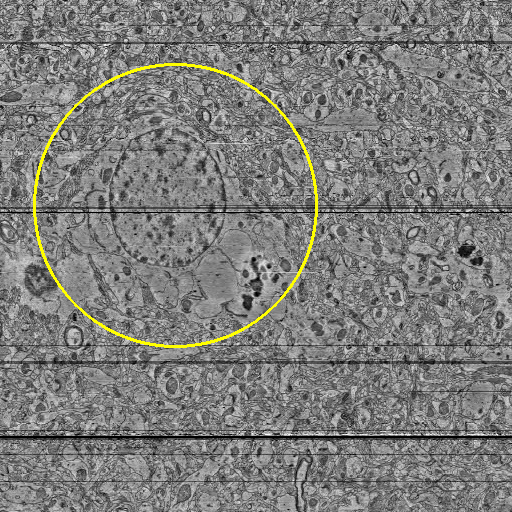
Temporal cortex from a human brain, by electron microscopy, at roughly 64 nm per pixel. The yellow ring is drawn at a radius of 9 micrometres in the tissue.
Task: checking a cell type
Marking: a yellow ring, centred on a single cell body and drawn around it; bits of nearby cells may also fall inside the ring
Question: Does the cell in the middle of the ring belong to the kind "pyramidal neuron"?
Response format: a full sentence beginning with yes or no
No, the cell marked at the ring's centre in the picture is of a different kind.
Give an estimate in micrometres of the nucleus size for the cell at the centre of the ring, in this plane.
Approximately 9 micrometers across in this plane.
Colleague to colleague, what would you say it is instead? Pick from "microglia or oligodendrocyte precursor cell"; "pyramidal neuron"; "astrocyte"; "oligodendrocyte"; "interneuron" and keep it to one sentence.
It is an astrocyte that the ring is centred on.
